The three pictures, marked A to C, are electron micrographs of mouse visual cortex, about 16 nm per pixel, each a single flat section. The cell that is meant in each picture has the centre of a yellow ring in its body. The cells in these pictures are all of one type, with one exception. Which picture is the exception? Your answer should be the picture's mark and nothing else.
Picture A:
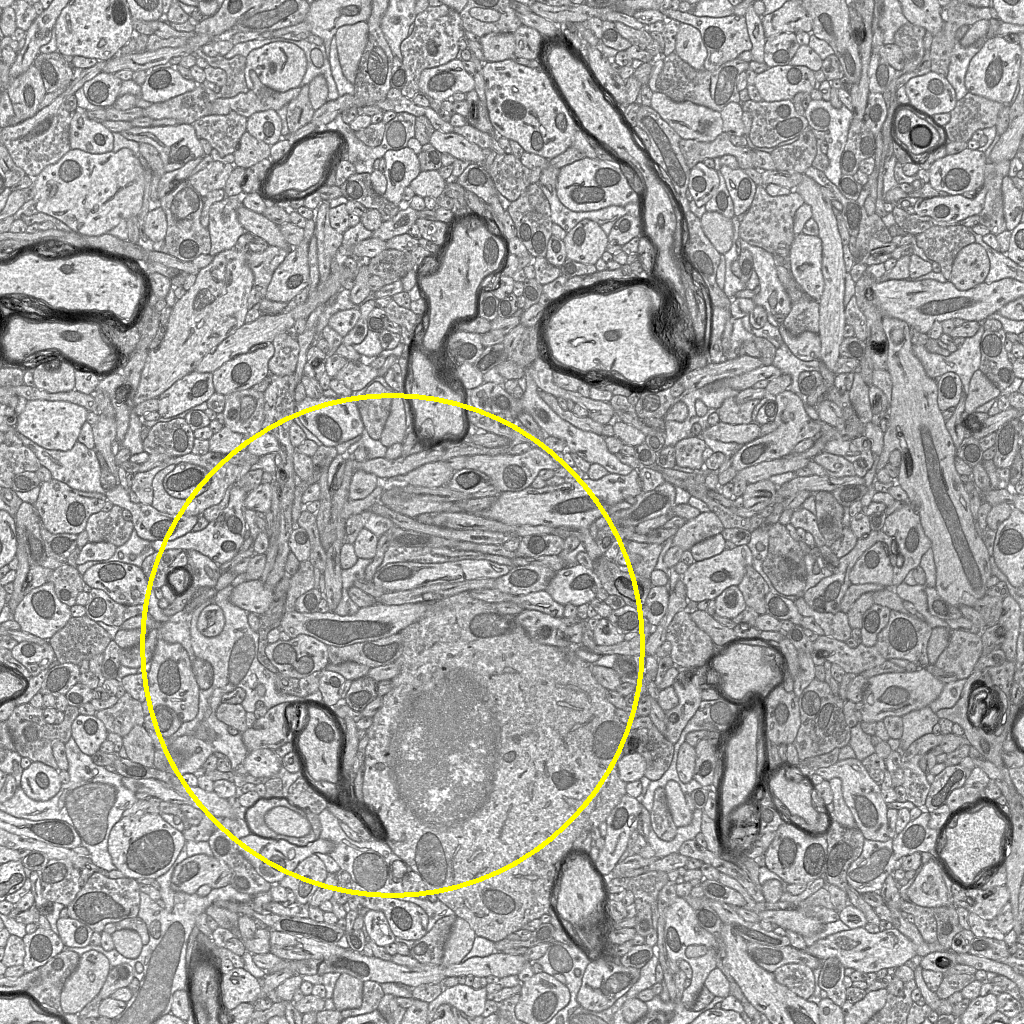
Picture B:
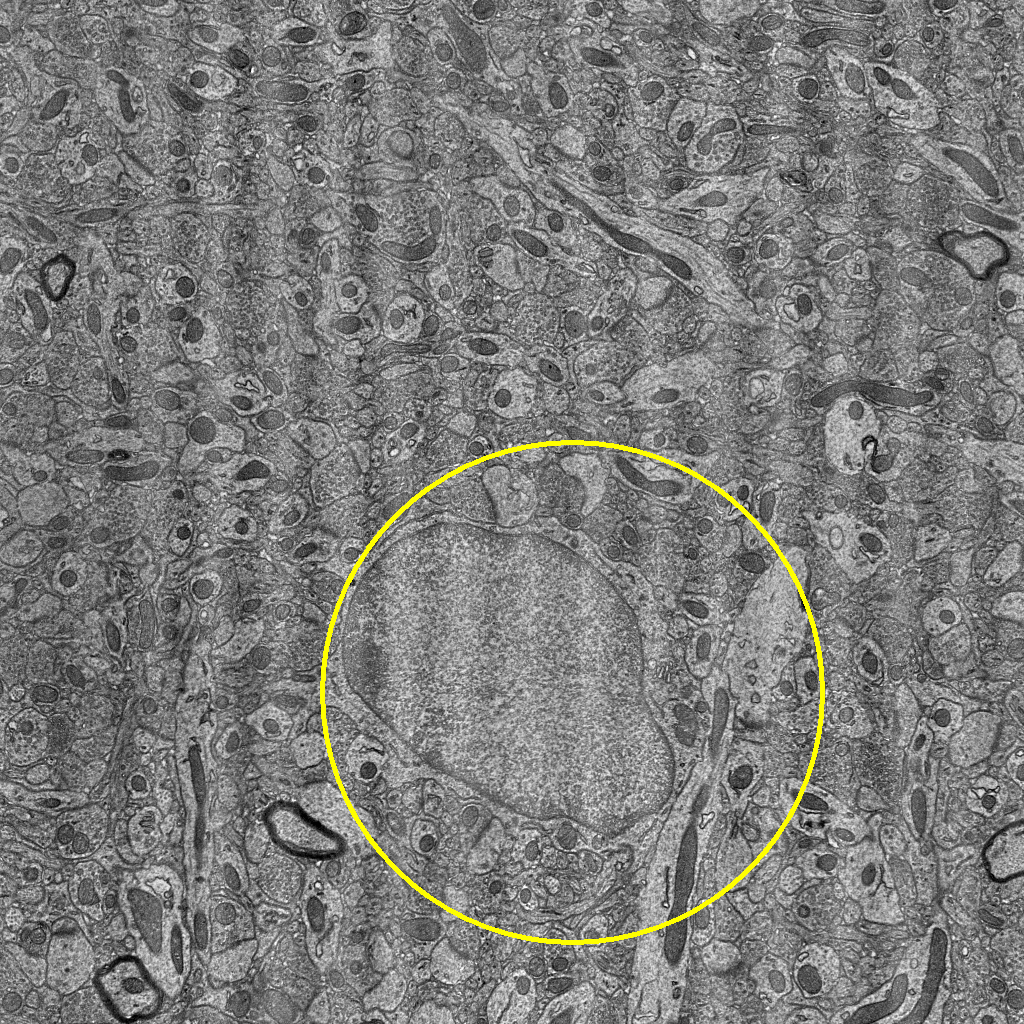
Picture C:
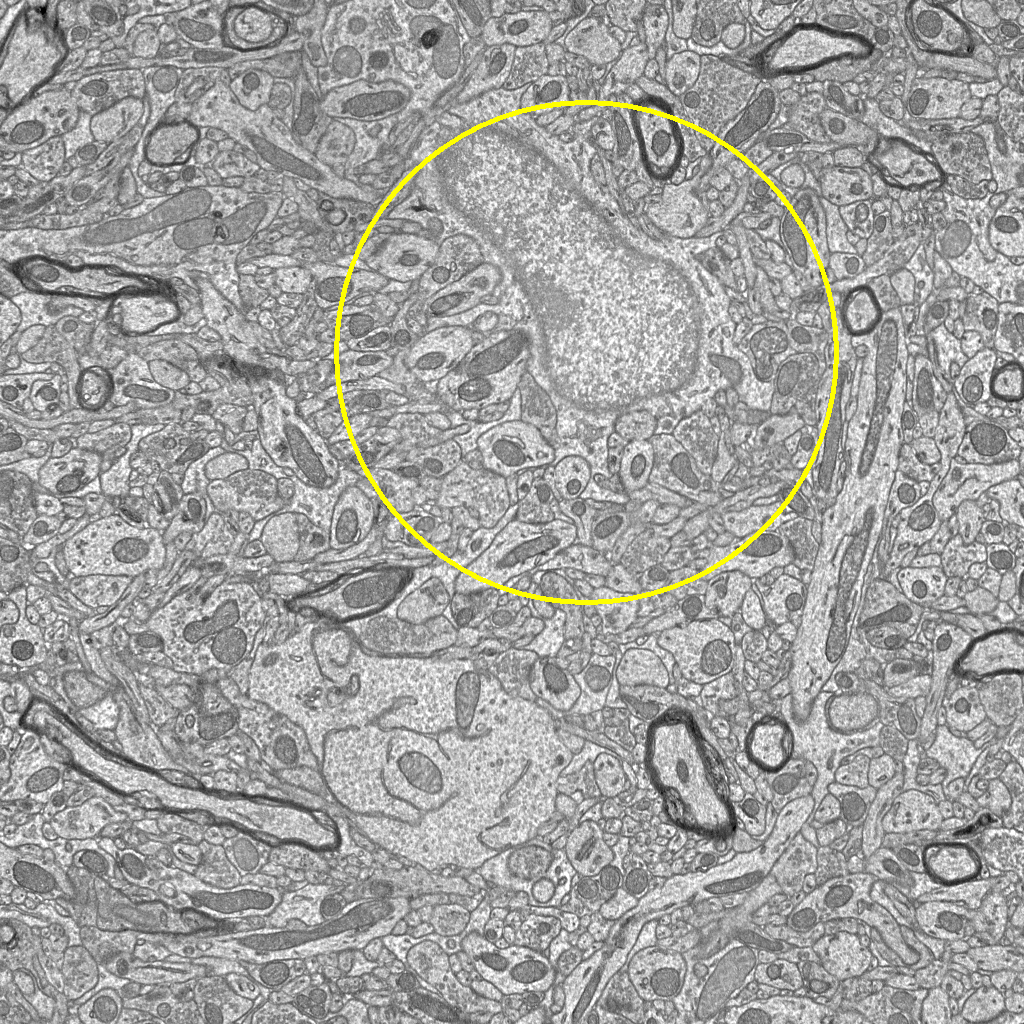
A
